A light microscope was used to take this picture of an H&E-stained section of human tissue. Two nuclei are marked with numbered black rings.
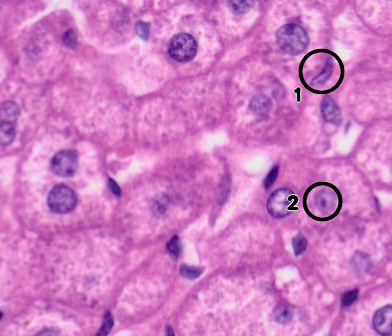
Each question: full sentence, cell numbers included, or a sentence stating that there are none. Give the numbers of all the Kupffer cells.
Mind that only cell 1 is a Kupffer cell, none of the rest.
